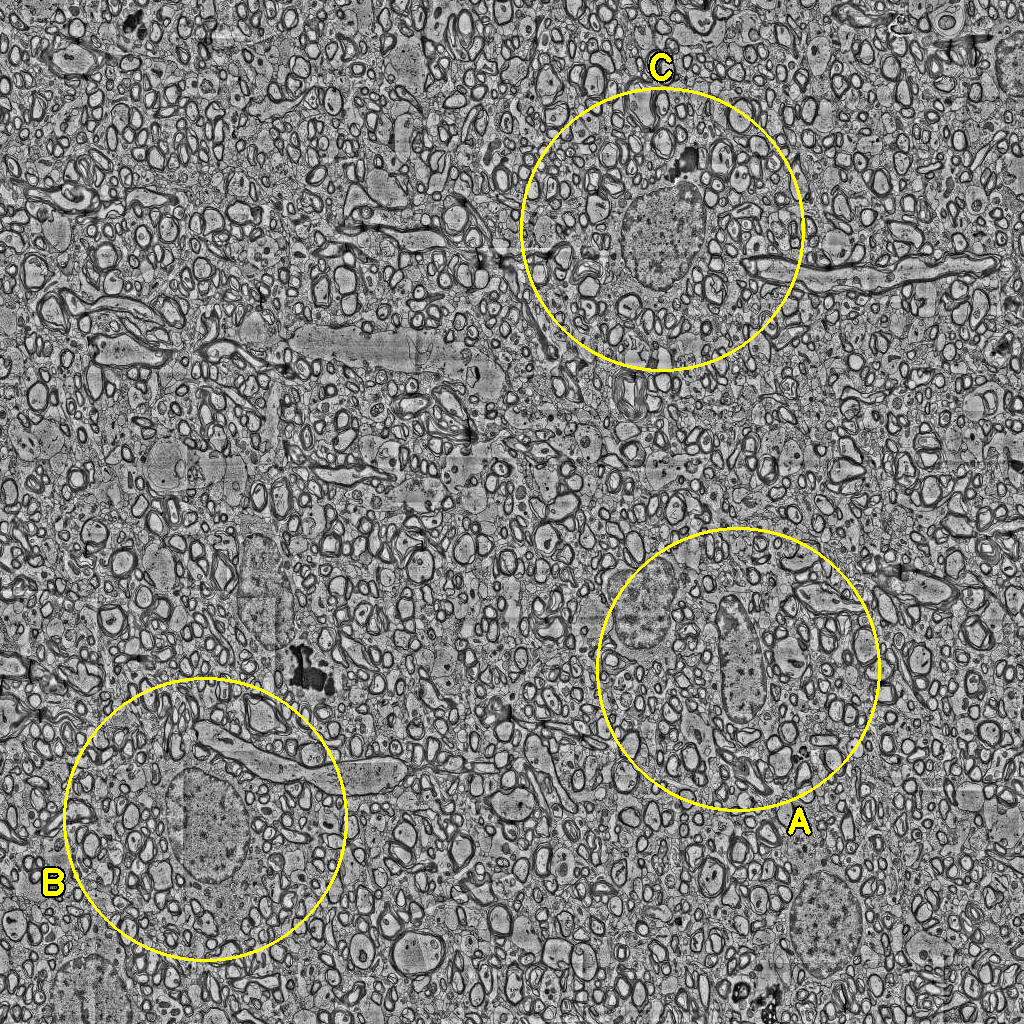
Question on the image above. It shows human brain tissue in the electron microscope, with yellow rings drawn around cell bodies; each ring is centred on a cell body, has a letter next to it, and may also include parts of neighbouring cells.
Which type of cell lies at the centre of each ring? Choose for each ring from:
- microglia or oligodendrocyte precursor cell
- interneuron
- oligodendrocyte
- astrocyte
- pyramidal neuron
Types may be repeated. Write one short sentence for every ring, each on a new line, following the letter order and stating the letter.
Ring A has been drawn around a microglial cell or oligodendrocyte precursor cell.
Ring B has been drawn around an oligodendrocyte.
Ring C has been drawn around an oligodendrocyte.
